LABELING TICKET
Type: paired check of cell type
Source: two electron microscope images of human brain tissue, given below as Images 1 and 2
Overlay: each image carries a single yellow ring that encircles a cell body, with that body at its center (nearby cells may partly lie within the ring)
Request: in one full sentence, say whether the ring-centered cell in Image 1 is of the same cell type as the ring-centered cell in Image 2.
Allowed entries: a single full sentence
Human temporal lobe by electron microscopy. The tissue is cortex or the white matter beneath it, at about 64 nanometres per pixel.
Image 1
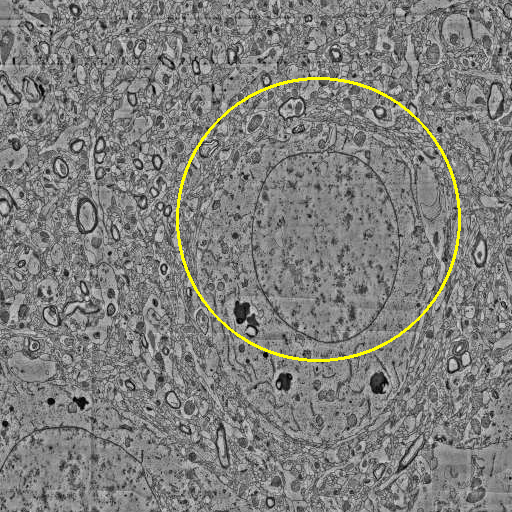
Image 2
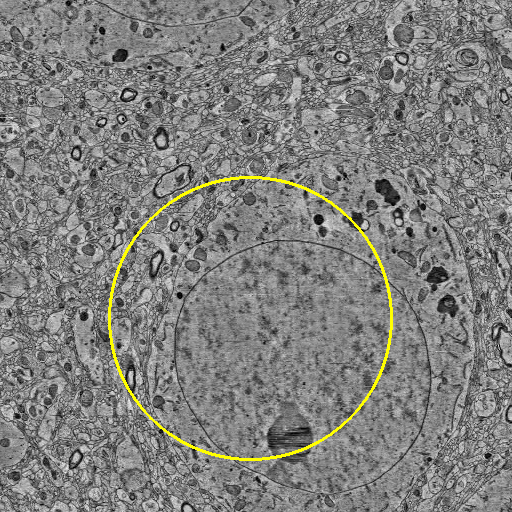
Yes, the cells centered in the rings of Image 1 and Image 2 share one type.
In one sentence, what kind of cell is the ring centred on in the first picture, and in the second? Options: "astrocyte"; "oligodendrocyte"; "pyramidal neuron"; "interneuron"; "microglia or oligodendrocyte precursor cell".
The cell in the first picture is a pyramidal neuron, and so is the one in the second.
